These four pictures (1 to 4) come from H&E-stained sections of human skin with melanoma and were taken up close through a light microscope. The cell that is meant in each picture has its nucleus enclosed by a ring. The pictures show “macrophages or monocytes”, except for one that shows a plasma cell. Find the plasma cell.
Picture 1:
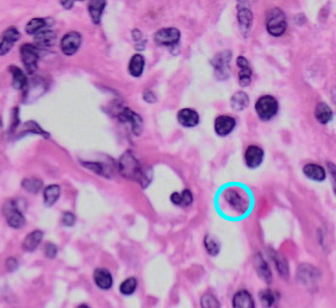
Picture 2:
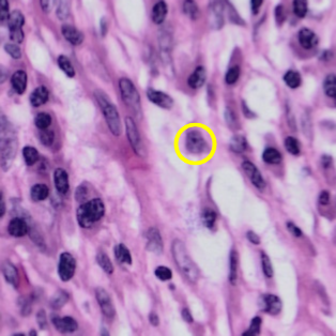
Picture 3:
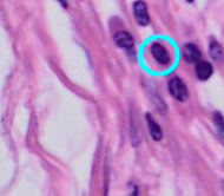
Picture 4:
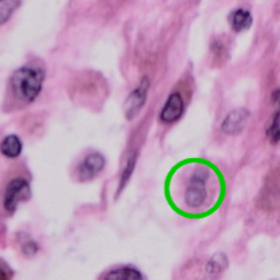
3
